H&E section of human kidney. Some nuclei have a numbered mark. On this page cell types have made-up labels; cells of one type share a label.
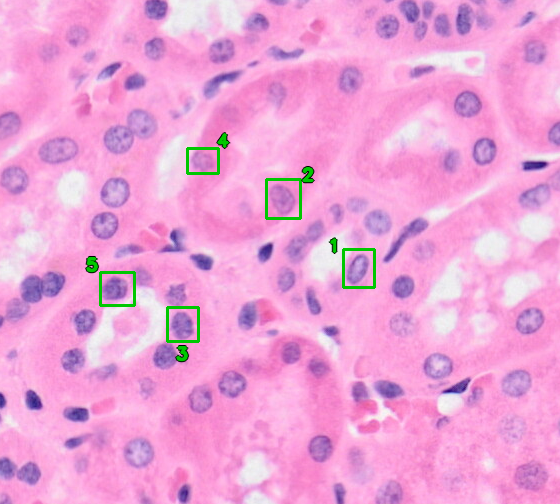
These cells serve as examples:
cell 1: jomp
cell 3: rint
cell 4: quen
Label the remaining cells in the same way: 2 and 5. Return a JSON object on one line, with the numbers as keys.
{"2": "quen", "5": "rint"}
